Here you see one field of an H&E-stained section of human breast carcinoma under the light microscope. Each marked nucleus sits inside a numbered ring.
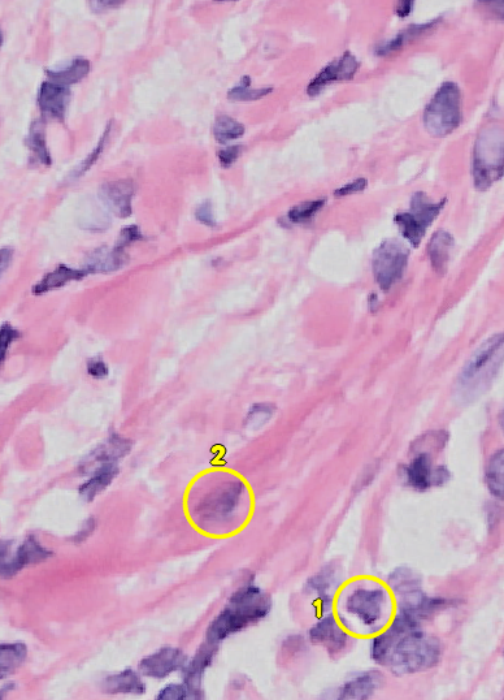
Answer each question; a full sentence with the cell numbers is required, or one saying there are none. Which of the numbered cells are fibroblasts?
Only number 2 is a fibroblast; none of the others are.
